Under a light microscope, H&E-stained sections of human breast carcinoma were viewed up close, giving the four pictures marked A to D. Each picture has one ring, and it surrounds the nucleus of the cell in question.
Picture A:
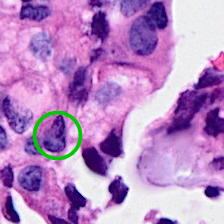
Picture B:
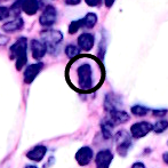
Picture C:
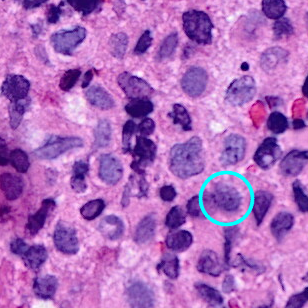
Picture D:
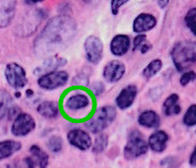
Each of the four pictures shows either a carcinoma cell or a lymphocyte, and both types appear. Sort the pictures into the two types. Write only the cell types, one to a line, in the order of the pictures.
carcinoma cell
lymphocyte
carcinoma cell
lymphocyte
